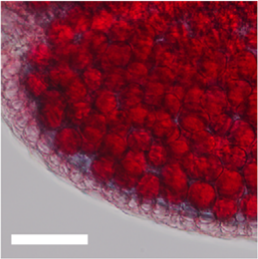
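An anther is seen with its wall of small, pale, polygonal cells forming a curved border along the lower left. Inside the wall, numerous round pollen grains are densely packed side by side.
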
